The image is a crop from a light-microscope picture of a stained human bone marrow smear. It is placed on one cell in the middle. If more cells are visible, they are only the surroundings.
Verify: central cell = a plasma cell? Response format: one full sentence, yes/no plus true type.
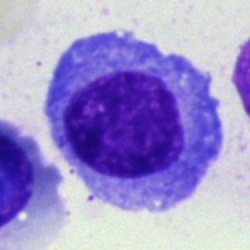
Yes, the middle cell is properly termed a plasma cell.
